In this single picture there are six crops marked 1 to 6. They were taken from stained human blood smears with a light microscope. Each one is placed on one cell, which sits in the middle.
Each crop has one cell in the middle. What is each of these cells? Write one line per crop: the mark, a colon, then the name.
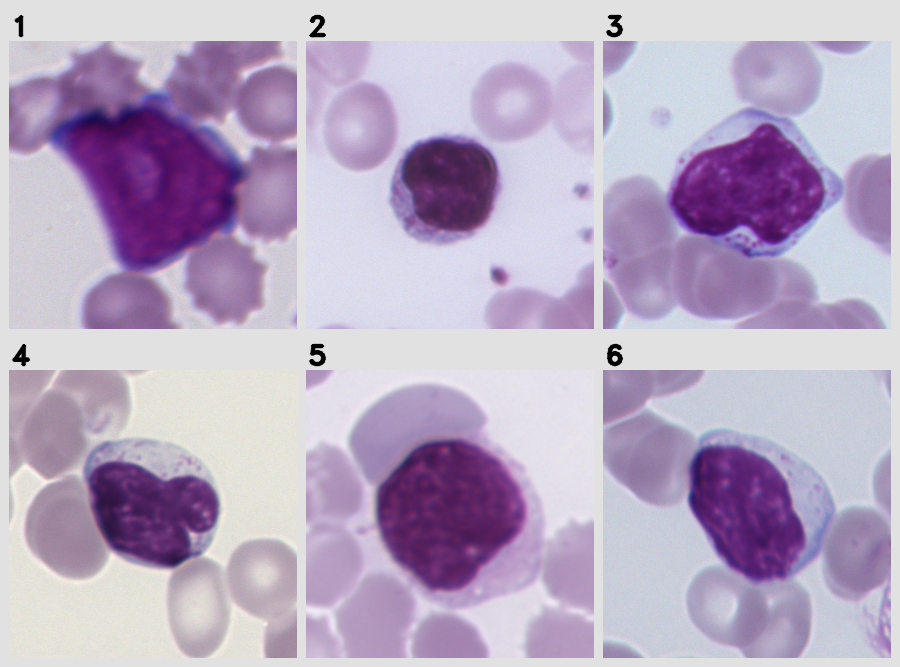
1: blast
2: large granular lymphocyte
3: large granular lymphocyte
4: large granular lymphocyte
5: blast
6: large granular lymphocyte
